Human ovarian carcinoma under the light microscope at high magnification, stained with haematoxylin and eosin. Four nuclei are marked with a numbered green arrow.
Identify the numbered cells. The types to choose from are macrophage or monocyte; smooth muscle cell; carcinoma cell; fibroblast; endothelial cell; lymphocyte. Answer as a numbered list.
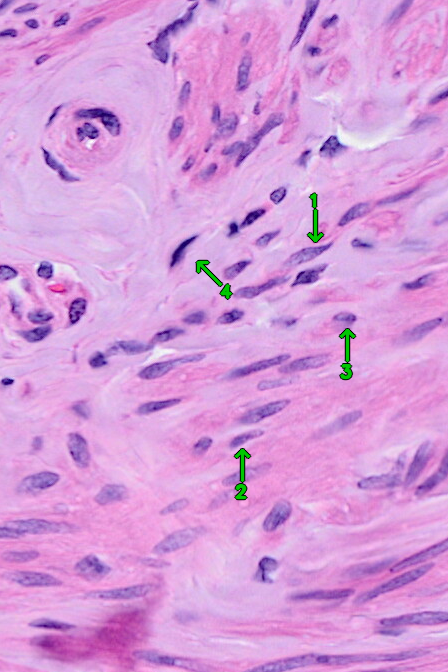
1. smooth muscle cell
2. smooth muscle cell
3. smooth muscle cell
4. fibroblast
